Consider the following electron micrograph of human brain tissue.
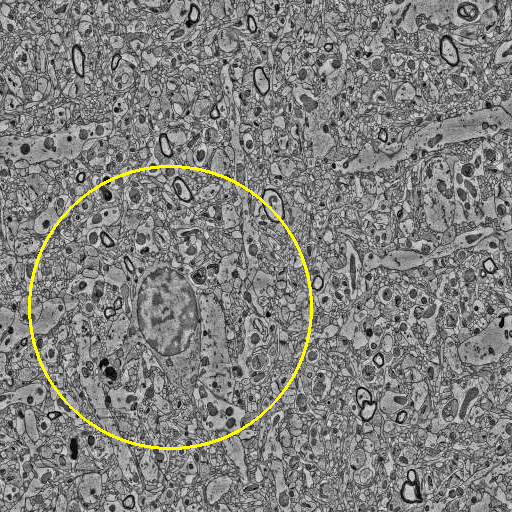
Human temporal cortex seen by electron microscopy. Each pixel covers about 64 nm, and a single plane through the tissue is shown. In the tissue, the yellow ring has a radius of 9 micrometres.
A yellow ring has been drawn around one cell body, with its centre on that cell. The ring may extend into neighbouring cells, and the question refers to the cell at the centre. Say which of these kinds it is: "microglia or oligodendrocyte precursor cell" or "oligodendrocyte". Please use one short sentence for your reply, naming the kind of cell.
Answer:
The centre of the ring falls on an oligodendrocyte.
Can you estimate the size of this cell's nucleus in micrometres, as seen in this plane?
The ringed cell's nucleus is about 6 micrometres long and 4 micrometres wide in this plane.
